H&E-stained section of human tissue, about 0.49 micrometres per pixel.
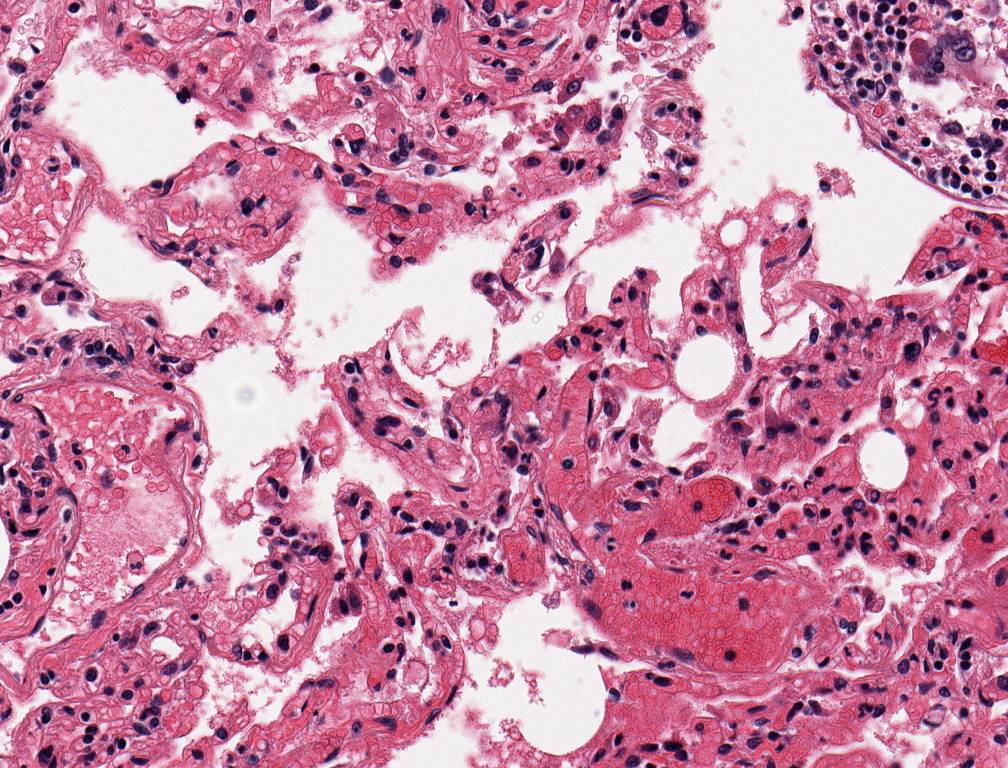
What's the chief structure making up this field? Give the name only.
alveolus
